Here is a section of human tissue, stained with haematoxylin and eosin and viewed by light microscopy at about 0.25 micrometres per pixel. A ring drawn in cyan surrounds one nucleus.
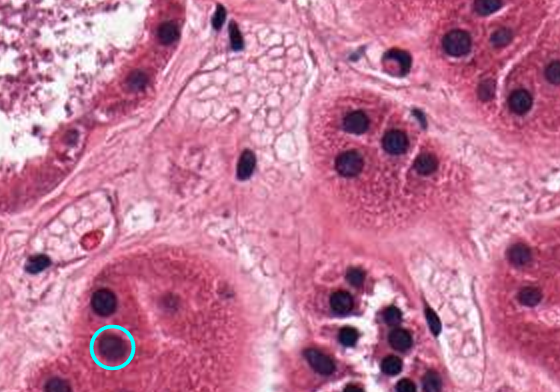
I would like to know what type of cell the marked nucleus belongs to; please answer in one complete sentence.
A nucleus belonging to a proximal tubule cell is the one marked.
